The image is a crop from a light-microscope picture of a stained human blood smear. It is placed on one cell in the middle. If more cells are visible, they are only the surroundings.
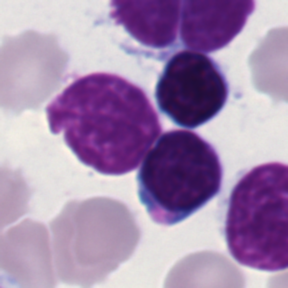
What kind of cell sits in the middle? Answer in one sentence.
In this smear crop, the middle cell is a myeloblast.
